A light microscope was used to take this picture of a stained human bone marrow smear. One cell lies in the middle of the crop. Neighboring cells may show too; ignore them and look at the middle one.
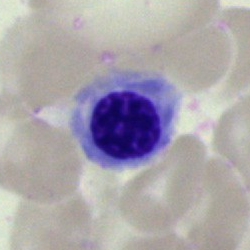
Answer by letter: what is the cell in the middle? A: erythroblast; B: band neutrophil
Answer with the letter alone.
A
